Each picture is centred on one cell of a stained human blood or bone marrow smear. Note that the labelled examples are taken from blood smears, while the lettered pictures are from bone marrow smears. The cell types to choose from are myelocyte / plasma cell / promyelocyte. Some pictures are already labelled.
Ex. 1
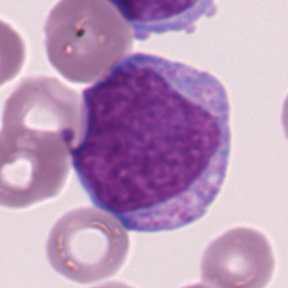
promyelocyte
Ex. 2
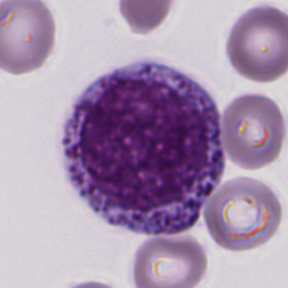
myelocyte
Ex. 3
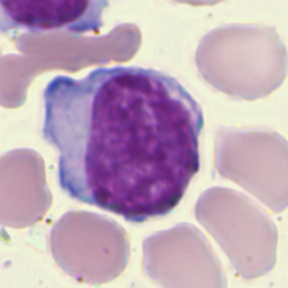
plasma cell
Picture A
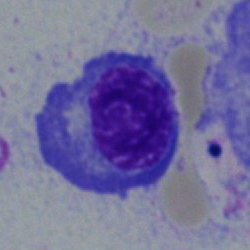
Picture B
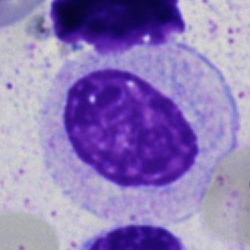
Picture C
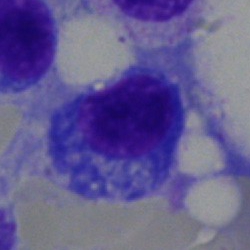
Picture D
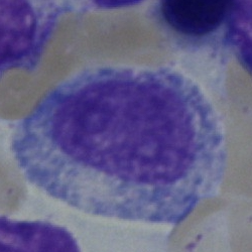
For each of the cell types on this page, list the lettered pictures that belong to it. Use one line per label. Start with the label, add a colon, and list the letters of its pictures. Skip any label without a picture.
myelocyte: B
plasma cell: A, C
promyelocyte: D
